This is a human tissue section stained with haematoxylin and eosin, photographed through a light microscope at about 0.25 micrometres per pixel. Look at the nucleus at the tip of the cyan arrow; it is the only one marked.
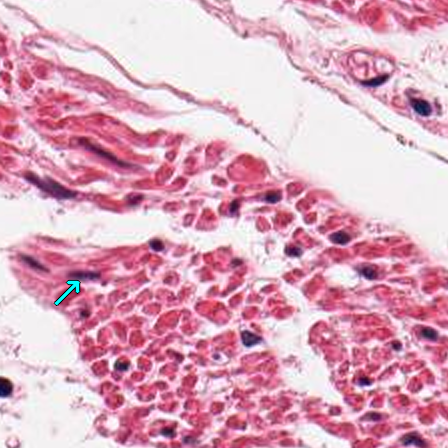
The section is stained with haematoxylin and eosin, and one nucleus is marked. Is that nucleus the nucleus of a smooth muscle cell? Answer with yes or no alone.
yes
